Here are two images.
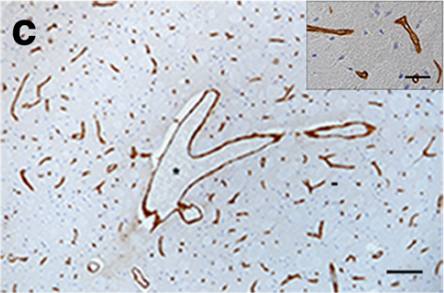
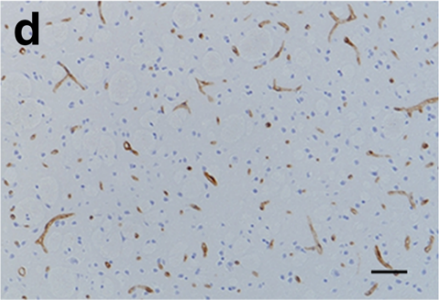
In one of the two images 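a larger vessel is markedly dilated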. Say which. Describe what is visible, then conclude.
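Second image: only small, narrow brown-walled vessel profiles are scattered through the tissue. First image: a large branching vessel with a wide open lumen lies in the centre.
Answer: the first image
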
